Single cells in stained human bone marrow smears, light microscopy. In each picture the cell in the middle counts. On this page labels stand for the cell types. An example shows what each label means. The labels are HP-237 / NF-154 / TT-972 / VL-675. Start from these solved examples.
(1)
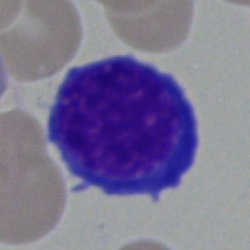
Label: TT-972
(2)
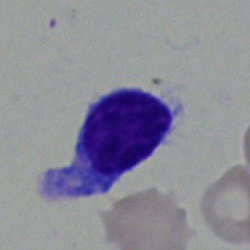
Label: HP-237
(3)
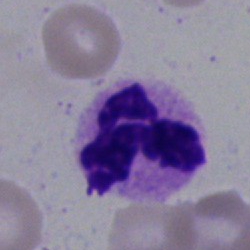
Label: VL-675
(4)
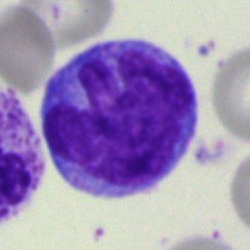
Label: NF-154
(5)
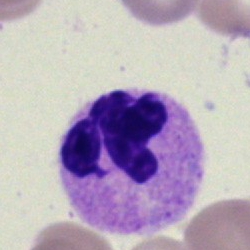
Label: VL-675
